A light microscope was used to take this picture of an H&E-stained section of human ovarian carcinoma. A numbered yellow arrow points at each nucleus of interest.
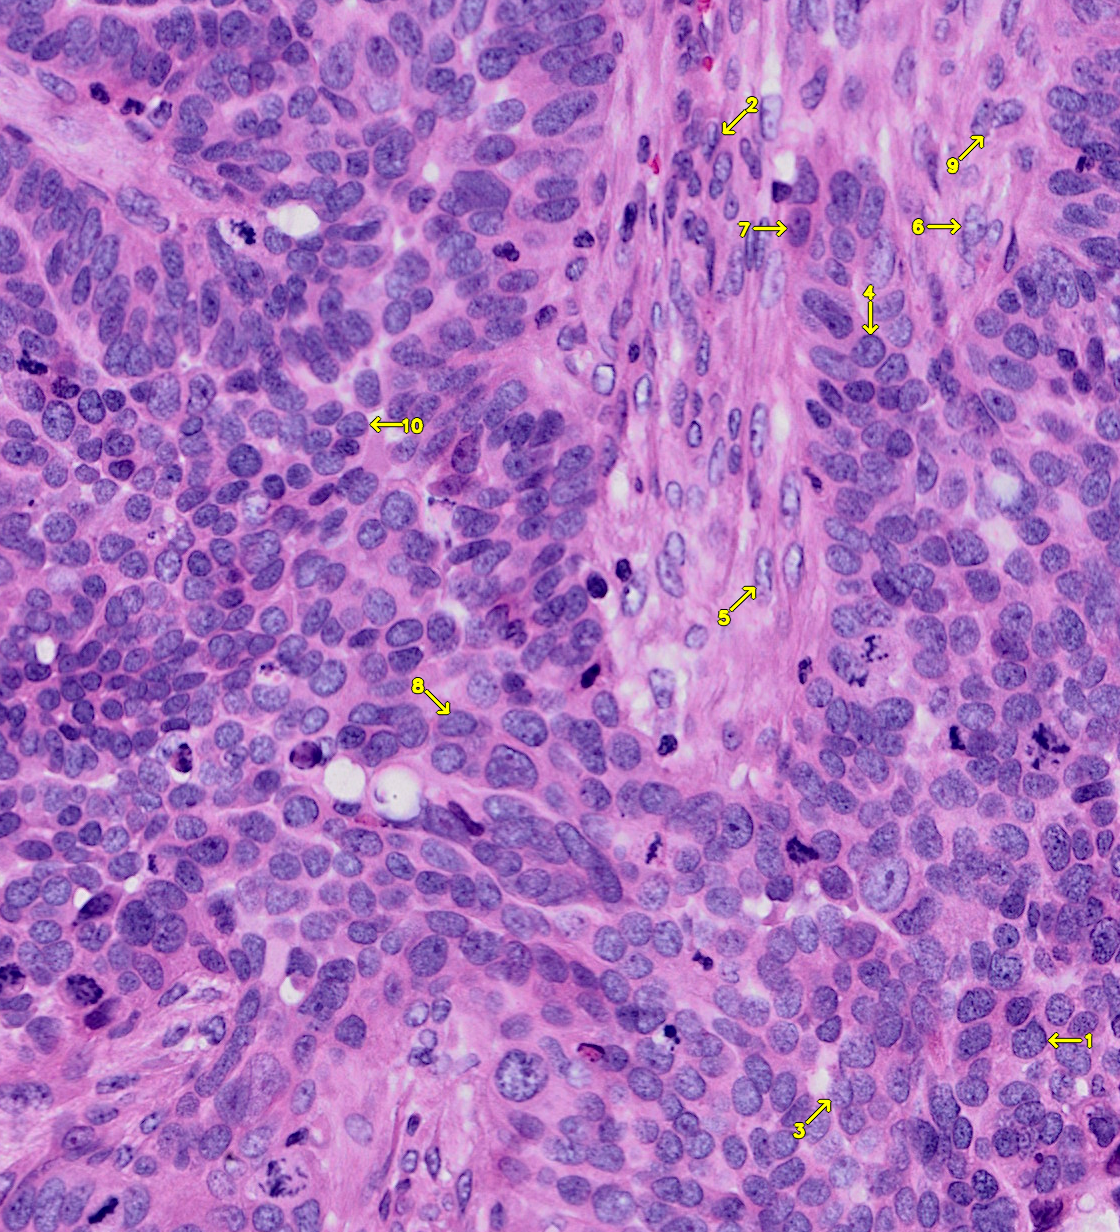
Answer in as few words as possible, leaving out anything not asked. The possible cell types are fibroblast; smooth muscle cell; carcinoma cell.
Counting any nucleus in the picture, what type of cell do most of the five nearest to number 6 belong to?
fibroblast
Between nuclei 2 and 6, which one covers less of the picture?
2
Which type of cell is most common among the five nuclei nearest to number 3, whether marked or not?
carcinoma cell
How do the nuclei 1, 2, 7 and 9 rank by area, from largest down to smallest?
9, 1, 7, 2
